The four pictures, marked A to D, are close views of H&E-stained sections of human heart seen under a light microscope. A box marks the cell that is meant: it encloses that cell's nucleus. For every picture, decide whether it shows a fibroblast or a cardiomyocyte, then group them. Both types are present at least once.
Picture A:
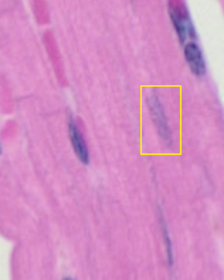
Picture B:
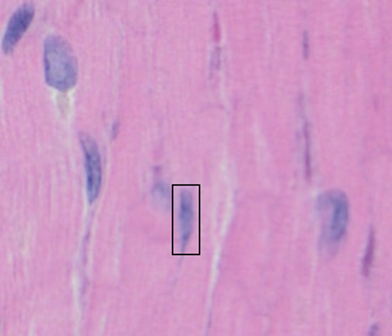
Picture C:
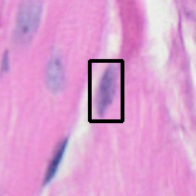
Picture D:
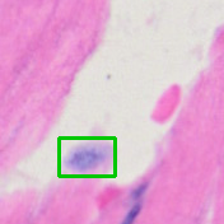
A: cardiomyocyte
B: fibroblast
C: fibroblast
D: fibroblast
